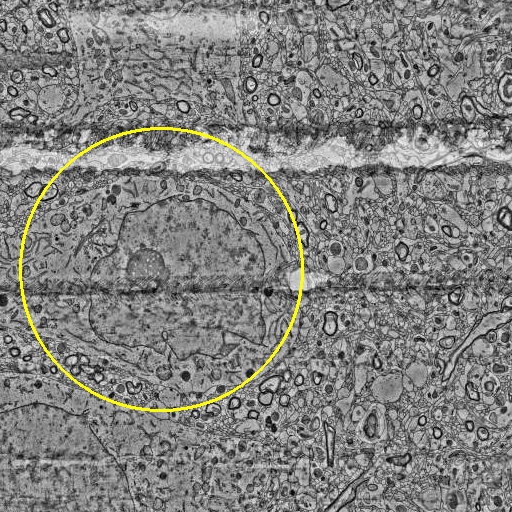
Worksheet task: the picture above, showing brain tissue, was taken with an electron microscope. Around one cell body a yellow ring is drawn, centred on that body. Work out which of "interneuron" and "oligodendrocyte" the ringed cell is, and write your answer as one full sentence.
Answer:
It is an interneuron whose cell body lies at the centre of the yellow ring.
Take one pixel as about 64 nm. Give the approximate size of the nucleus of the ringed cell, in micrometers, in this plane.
The ringed cell's nucleus is about 11 micrometres across in this plane.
